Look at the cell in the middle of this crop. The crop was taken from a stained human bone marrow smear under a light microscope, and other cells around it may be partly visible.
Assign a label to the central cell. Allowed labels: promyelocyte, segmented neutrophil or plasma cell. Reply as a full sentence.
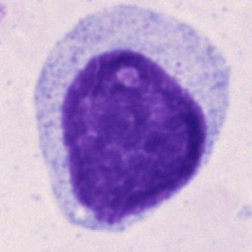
By classification, the middle cell of this crop is a promyelocyte.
